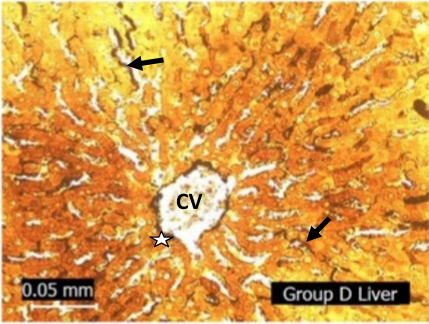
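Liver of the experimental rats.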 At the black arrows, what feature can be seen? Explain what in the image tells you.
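Black threads line the pale gaps between radiating cords of yellow-orange cells. The arrows point to these dark threads. On this evidence: reticular fibres.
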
